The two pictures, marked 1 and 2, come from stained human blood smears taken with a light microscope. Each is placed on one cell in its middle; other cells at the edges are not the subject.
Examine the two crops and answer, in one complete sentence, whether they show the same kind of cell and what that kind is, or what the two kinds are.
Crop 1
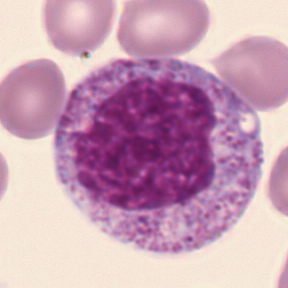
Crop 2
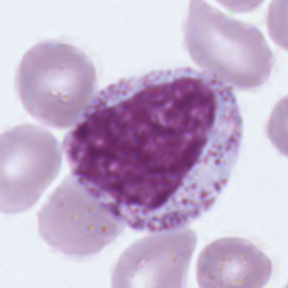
Yes, both crops feature myelocytes at the centre.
